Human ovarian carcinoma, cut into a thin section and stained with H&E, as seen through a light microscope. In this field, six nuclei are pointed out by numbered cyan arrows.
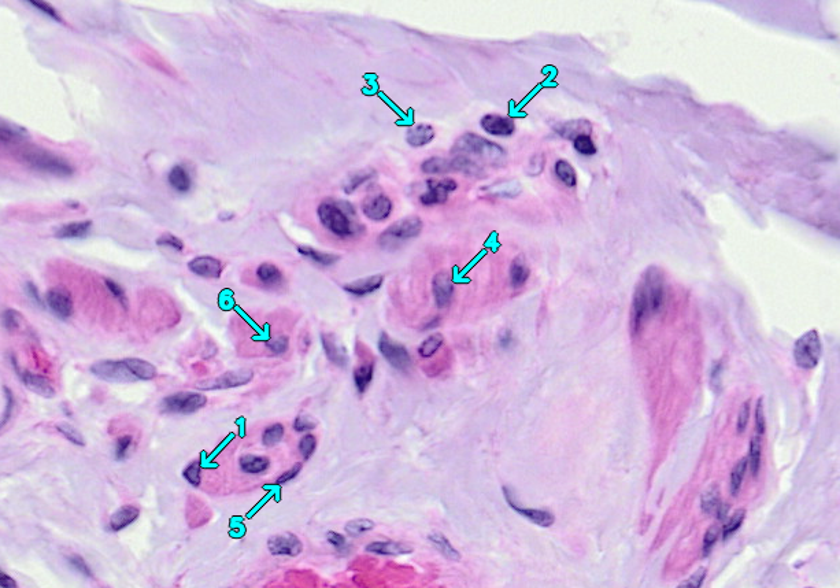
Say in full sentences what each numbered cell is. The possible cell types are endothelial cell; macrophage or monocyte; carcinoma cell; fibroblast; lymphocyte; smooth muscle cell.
Cells 1, 4, 5 and 6 are smooth muscle cells. Cells 2 and 3 are lymphocytes.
